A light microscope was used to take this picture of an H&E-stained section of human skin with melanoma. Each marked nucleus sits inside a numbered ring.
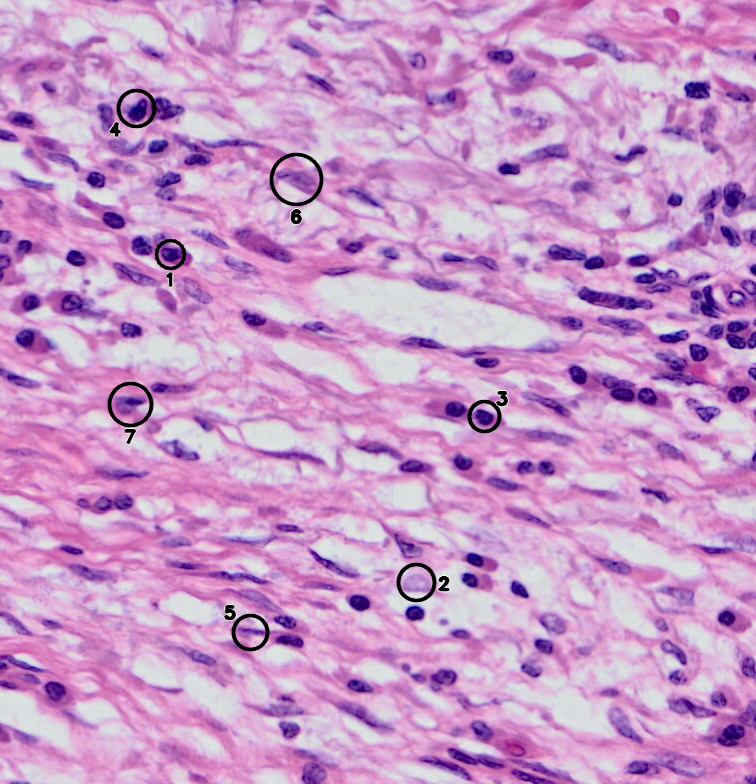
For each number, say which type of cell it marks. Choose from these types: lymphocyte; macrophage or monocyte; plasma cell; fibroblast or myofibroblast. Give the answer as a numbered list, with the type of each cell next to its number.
1. plasma cell
2. fibroblast or myofibroblast
3. plasma cell
4. plasma cell
5. fibroblast or myofibroblast
6. fibroblast or myofibroblast
7. macrophage or monocyte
